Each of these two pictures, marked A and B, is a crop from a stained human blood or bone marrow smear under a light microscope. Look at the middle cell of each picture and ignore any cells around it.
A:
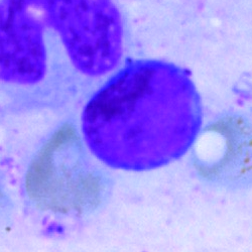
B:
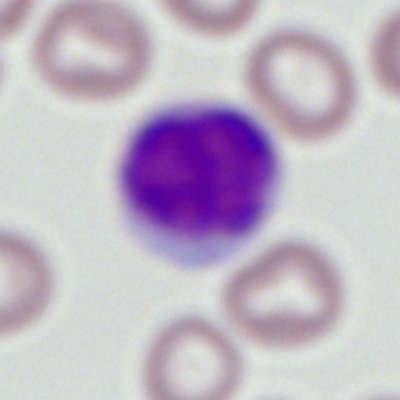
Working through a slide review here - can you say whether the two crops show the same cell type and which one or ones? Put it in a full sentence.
Yes, the two crops both show lymphocytes.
